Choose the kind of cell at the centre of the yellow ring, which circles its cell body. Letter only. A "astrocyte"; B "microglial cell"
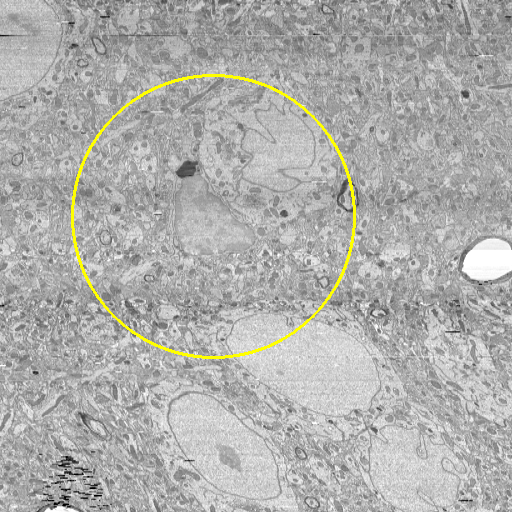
B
